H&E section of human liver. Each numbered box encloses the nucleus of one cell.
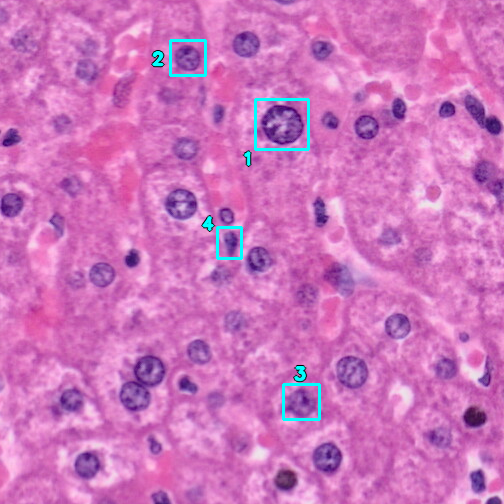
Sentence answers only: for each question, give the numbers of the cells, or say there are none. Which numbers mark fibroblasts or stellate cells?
Cell 4 is a fibroblast or stellate cell, and it is the only one.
